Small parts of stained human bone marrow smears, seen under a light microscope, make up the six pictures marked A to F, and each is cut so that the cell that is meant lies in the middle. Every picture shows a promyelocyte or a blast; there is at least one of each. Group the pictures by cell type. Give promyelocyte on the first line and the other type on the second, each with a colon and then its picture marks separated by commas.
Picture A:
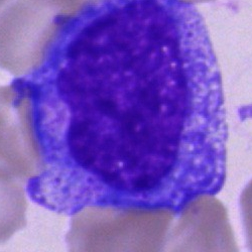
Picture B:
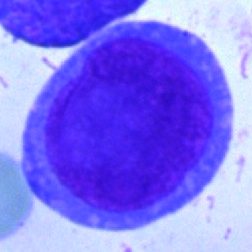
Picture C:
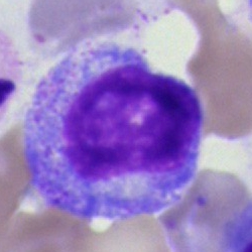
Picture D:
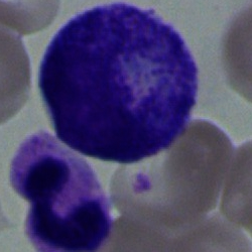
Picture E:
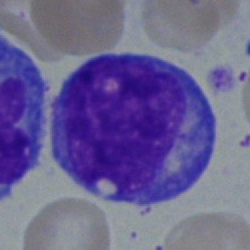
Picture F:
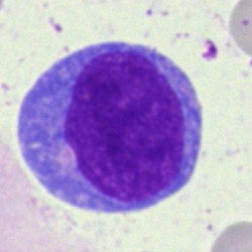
promyelocyte: A, C, D
blast: B, E, F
